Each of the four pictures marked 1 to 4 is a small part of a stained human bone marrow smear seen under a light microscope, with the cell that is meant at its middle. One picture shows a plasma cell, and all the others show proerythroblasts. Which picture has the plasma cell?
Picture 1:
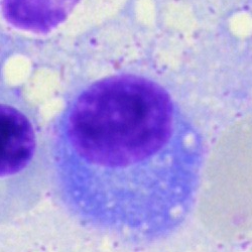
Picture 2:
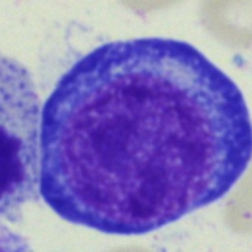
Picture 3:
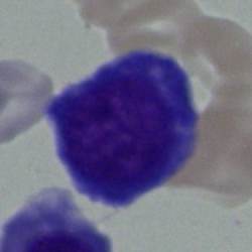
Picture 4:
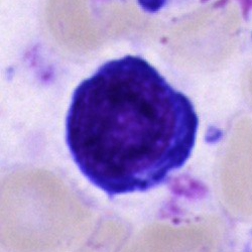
1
